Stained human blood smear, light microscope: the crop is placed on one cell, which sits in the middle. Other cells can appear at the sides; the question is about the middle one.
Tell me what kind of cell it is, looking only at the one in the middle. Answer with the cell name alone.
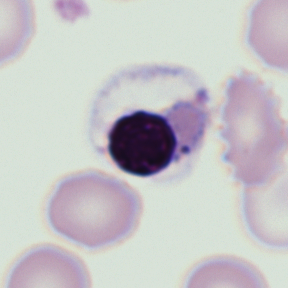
erythroblast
